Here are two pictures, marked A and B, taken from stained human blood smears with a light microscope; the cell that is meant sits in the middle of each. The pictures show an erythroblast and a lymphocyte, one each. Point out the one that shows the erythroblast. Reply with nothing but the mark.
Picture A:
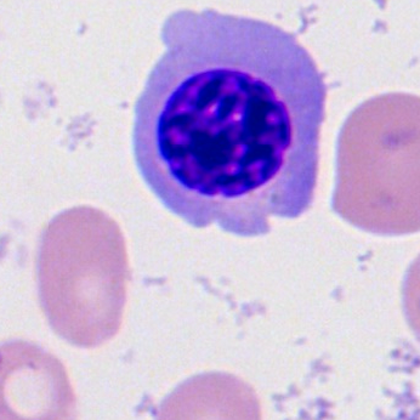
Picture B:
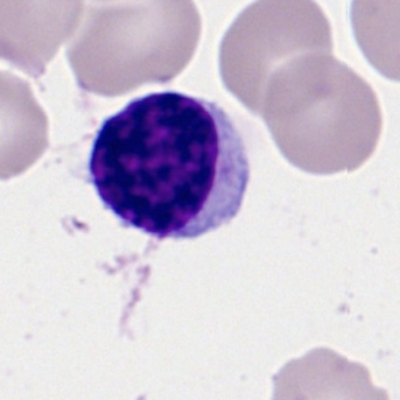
A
